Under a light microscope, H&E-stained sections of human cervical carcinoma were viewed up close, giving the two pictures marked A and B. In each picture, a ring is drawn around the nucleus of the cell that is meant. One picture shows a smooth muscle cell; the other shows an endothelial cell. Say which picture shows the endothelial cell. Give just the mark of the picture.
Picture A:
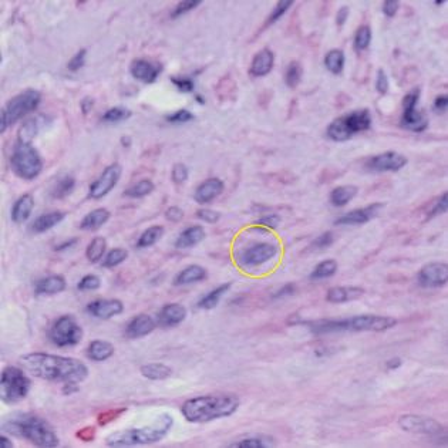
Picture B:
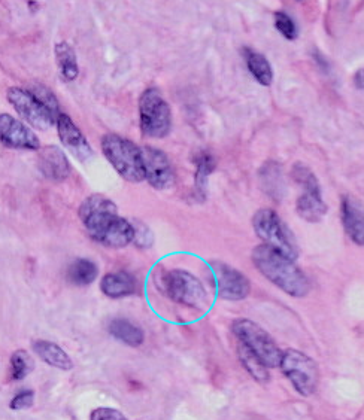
B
